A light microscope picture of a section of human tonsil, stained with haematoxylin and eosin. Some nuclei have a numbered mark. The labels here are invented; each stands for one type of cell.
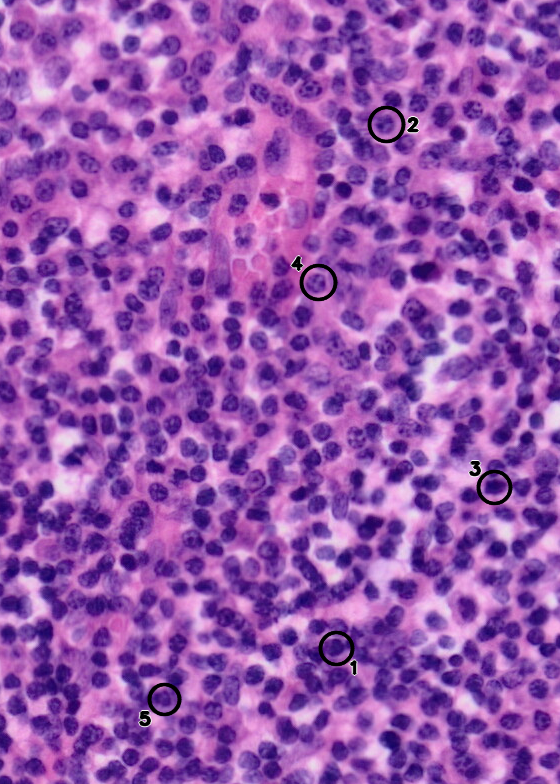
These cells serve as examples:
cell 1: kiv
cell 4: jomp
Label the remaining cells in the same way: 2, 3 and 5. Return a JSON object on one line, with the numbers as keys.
{"2": "jomp", "3": "kiv", "5": "kiv"}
